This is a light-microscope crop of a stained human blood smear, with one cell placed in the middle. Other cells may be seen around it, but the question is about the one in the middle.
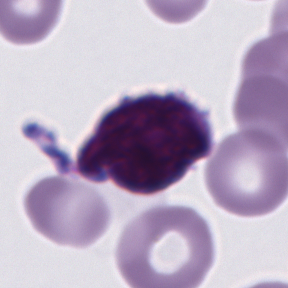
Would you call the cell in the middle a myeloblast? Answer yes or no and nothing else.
yes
